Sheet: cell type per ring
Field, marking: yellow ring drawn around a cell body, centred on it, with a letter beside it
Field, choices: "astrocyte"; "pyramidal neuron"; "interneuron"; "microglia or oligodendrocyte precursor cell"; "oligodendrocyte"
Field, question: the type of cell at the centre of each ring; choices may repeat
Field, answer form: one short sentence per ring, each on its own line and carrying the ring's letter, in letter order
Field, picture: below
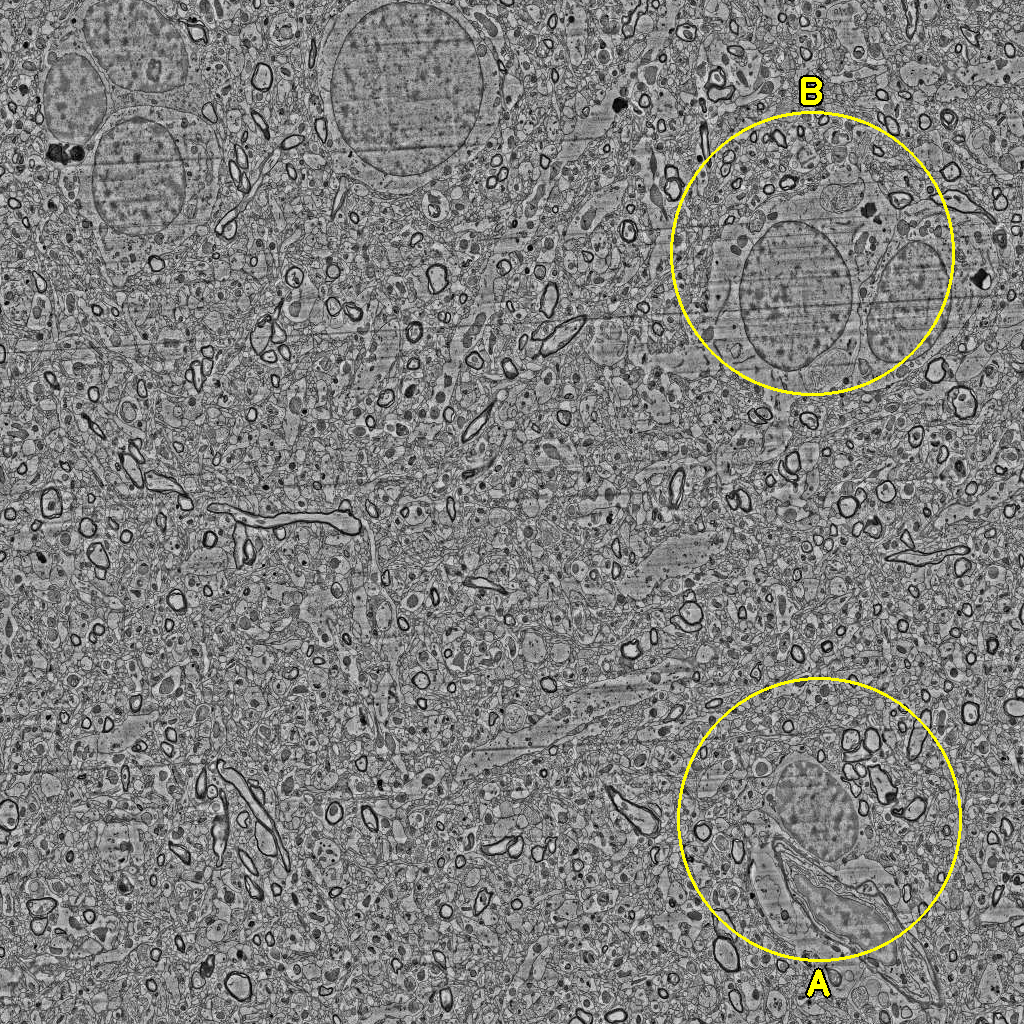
The cell body inside ring A, at its centre, is an oligodendrocyte.
The cell body inside ring B, at its centre, is an astrocyte.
